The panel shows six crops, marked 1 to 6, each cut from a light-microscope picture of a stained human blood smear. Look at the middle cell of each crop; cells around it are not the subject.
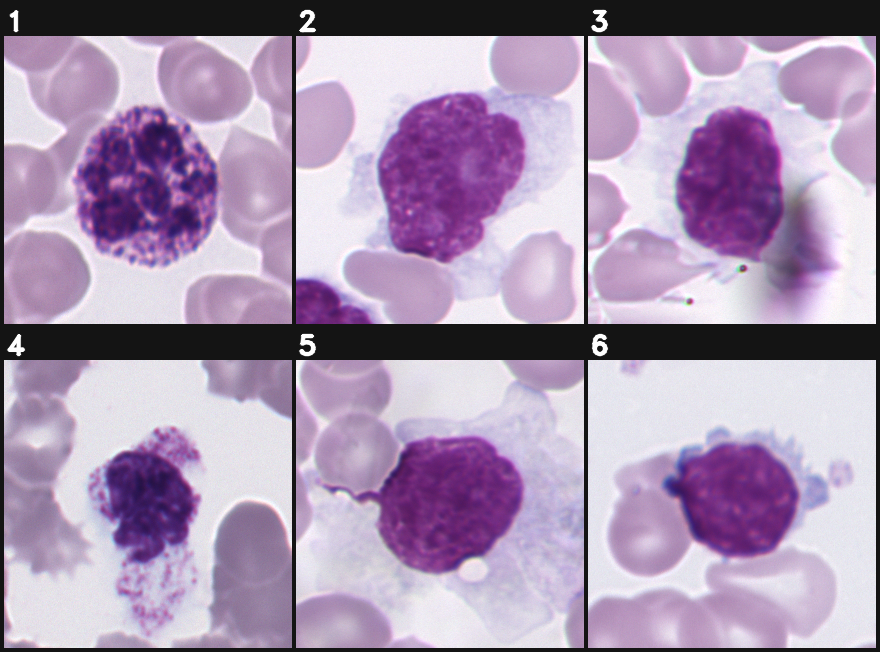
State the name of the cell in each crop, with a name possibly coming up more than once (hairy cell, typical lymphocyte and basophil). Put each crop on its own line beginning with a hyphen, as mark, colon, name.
- 1: basophil
- 2: hairy cell
- 3: hairy cell
- 4: basophil
- 5: hairy cell
- 6: typical lymphocyte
